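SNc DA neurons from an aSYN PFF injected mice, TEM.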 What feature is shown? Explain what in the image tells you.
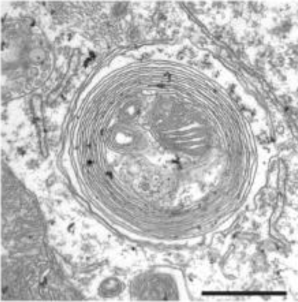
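A round body made of many concentric membrane layers. At its centre lies an organelle with cristae.
Conclusion: lamellar body with a trapped mitochondrion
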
